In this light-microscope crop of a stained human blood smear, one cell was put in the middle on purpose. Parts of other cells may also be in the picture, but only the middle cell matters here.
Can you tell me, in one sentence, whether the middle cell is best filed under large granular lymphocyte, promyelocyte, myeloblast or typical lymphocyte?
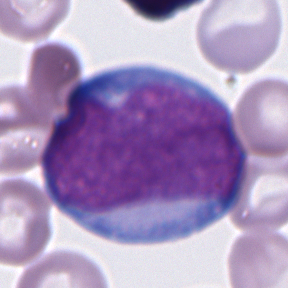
This crop has a myeloblast at its centre.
